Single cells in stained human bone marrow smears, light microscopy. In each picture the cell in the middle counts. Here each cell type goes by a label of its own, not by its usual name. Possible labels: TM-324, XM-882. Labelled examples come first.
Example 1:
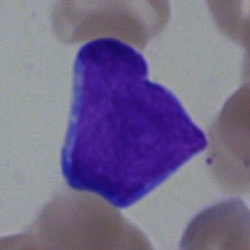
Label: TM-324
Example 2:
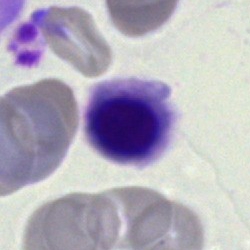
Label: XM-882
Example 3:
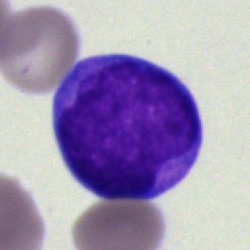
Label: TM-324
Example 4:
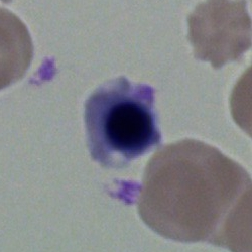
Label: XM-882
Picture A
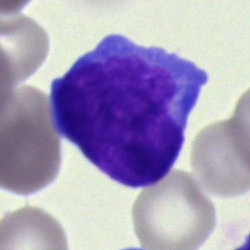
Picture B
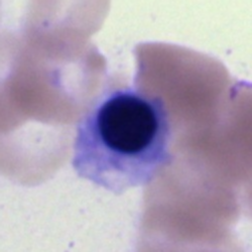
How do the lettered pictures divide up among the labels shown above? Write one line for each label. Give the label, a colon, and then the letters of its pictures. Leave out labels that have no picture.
TM-324: A
XM-882: B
